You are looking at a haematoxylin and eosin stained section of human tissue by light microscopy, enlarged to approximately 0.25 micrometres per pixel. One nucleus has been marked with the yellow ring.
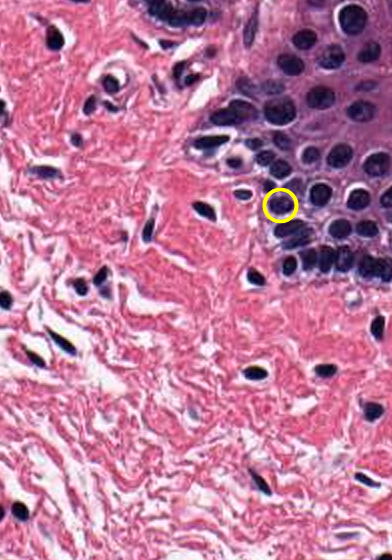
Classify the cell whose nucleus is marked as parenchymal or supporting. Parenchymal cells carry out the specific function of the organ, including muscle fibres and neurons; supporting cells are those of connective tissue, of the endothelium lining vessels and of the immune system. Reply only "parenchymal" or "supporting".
parenchymal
